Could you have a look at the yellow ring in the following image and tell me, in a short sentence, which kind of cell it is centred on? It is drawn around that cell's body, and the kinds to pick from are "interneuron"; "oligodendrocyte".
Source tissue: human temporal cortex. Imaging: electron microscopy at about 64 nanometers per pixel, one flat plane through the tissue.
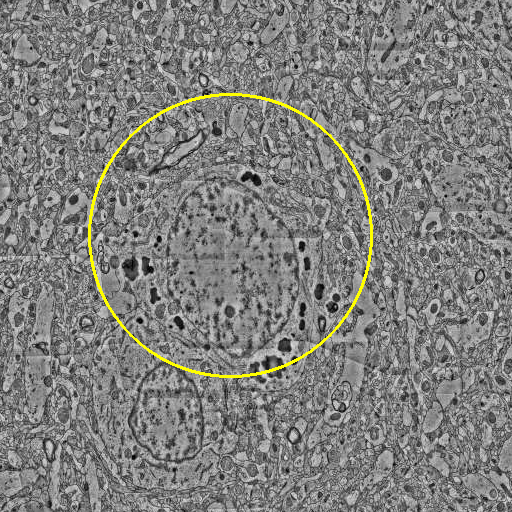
The ring is centred on the body of an interneuron.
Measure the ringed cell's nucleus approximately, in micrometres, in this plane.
About 12 by 9 micrometers for the nucleus, in this plane.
